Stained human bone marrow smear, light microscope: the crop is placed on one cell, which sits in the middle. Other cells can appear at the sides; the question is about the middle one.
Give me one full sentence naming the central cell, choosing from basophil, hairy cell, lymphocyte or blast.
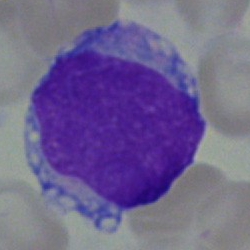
By type, the central cell of the crop is a blast.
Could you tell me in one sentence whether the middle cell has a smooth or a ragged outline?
The cell outline lacks smoothness, being ragged or extended into projections.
